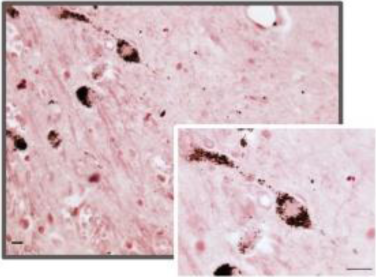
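This is a thin section of brain tissue stained pink, in which scattered neurons hold dark brown to black granular pigment in their cell bodies. The pigmented cell bodies are rounded to angular, and in some the dark granules extend into tapering proximal processes. Between them lies pale pink fibrous neuropil with a few small clear spaces. An enlarged inset shows the granules clustered within individual cell bodies.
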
